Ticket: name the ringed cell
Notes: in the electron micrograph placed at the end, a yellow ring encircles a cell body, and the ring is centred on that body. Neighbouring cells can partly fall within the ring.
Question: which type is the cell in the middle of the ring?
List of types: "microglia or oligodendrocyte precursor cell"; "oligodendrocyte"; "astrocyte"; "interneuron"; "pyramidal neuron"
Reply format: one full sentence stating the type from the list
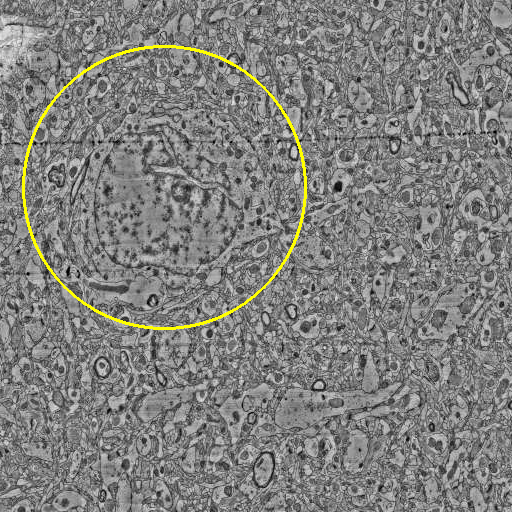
The cell sitting at the centre of the yellow ring is an interneuron.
